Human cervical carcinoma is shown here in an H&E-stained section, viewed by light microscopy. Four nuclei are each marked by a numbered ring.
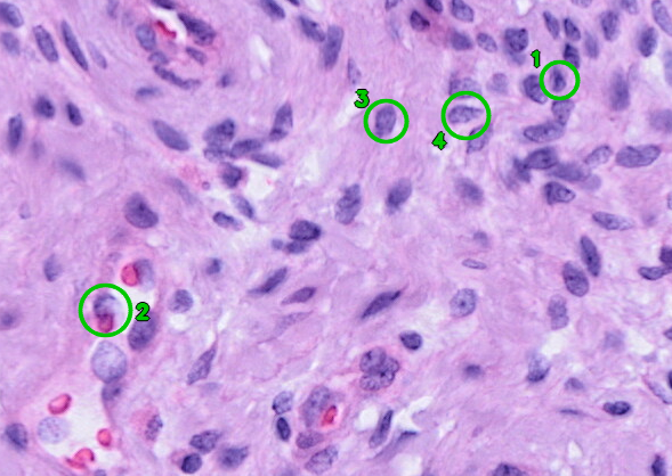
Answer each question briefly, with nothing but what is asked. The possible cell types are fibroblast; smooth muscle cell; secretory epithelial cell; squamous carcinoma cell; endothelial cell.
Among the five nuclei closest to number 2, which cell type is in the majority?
endothelial cell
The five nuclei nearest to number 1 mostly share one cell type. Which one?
fibroblast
